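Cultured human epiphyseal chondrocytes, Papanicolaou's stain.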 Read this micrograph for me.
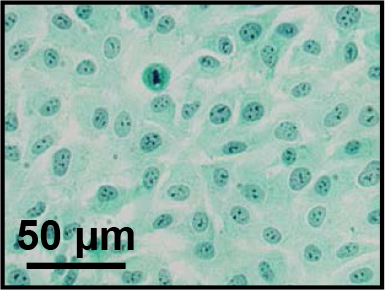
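This cytology preparation shows a sheet of small polygonal cells with pale blue-green cytoplasm. Each cell holds one round to oval nucleus with fine dark chromatin granules, and the cells are spaced evenly with angular outlines; one cell shows a darker, condensed nucleus.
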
